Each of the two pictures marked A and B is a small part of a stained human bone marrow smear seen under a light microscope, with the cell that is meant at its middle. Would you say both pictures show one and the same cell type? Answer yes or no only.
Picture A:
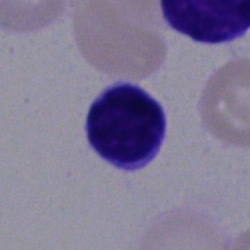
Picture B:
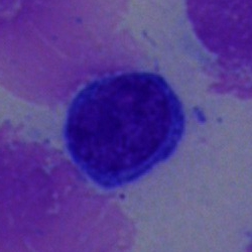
yes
